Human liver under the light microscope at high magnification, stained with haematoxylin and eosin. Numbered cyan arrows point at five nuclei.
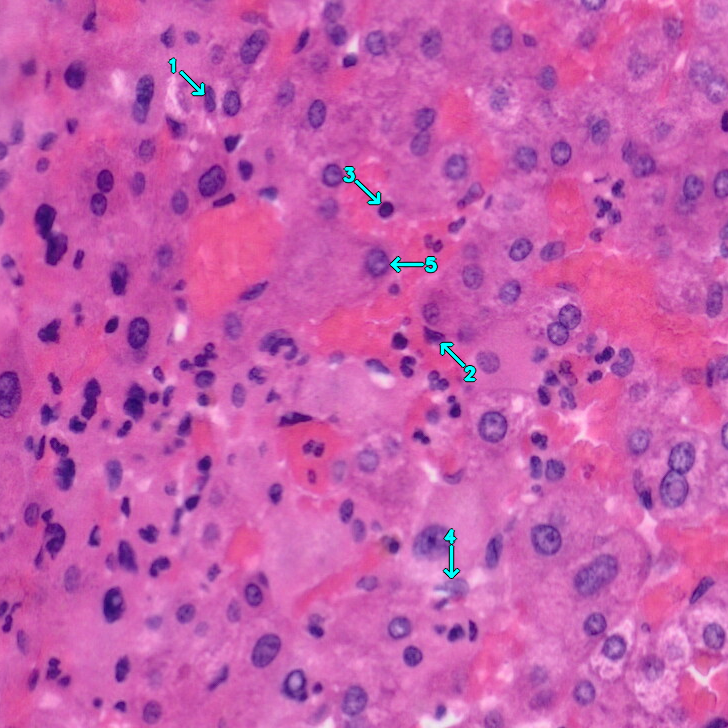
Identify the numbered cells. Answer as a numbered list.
1. fibroblast or stellate cell
2. fibroblast or stellate cell
3. lymphocyte
4. endothelial cell
5. hepatocyte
